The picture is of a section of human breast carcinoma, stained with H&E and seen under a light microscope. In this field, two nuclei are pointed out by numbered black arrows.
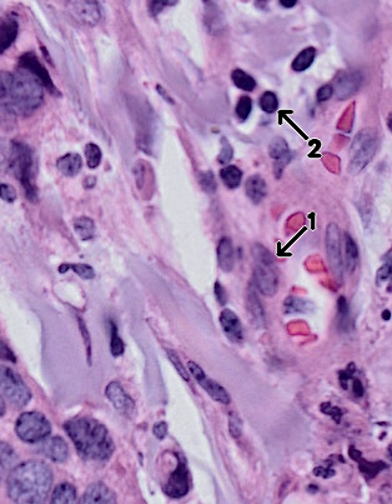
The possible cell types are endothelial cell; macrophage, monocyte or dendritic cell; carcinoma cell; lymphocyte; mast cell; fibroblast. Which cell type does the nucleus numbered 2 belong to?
lymphocyte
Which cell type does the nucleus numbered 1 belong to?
endothelial cell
